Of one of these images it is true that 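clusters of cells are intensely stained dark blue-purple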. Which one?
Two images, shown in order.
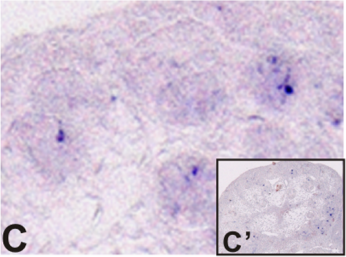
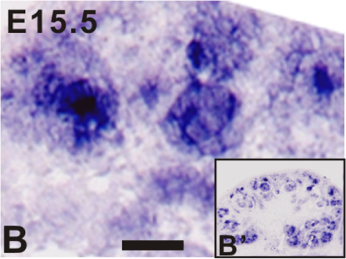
the second image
